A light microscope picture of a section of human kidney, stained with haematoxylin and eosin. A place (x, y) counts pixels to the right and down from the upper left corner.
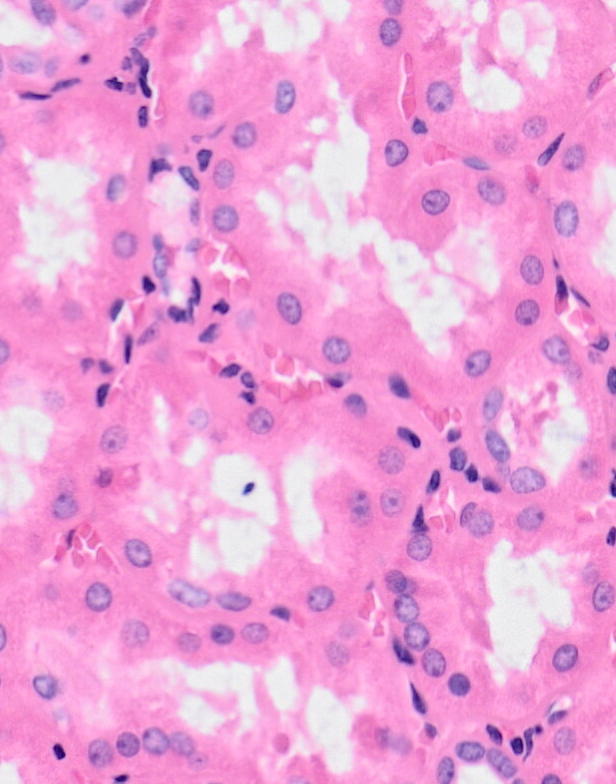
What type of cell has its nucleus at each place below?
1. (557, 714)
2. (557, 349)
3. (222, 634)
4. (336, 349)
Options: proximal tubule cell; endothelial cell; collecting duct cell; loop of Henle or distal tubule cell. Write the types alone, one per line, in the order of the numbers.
endothelial cell
proximal tubule cell
proximal tubule cell
proximal tubule cell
